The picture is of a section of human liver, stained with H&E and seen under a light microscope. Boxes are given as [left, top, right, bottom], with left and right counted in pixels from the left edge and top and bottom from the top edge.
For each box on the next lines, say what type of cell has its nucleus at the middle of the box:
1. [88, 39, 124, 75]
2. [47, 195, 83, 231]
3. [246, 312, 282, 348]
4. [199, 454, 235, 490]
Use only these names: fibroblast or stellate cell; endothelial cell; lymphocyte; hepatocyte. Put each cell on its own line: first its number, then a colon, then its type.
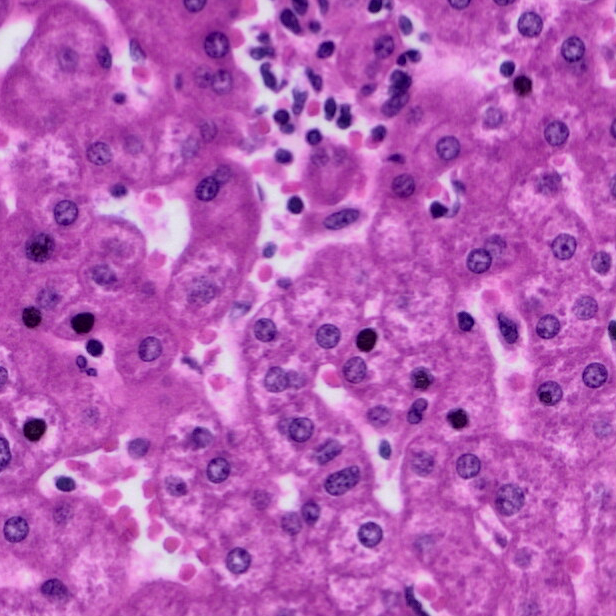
1: fibroblast or stellate cell
2: hepatocyte
3: hepatocyte
4: hepatocyte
